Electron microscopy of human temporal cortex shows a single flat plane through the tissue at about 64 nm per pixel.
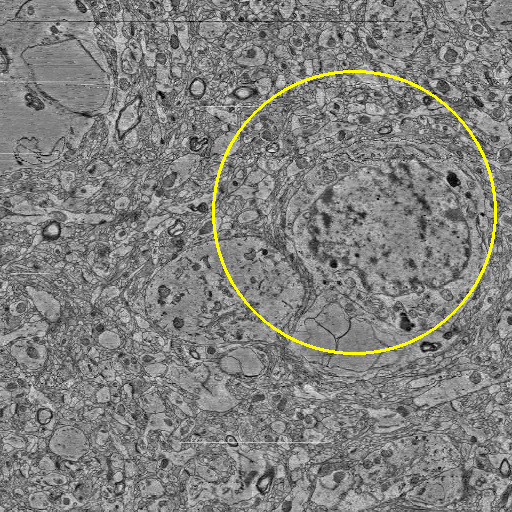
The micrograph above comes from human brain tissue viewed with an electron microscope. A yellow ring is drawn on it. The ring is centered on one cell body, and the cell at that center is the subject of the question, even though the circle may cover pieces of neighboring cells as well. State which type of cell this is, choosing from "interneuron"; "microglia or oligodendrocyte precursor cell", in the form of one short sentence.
The cell the ring is centered on is an interneuron.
